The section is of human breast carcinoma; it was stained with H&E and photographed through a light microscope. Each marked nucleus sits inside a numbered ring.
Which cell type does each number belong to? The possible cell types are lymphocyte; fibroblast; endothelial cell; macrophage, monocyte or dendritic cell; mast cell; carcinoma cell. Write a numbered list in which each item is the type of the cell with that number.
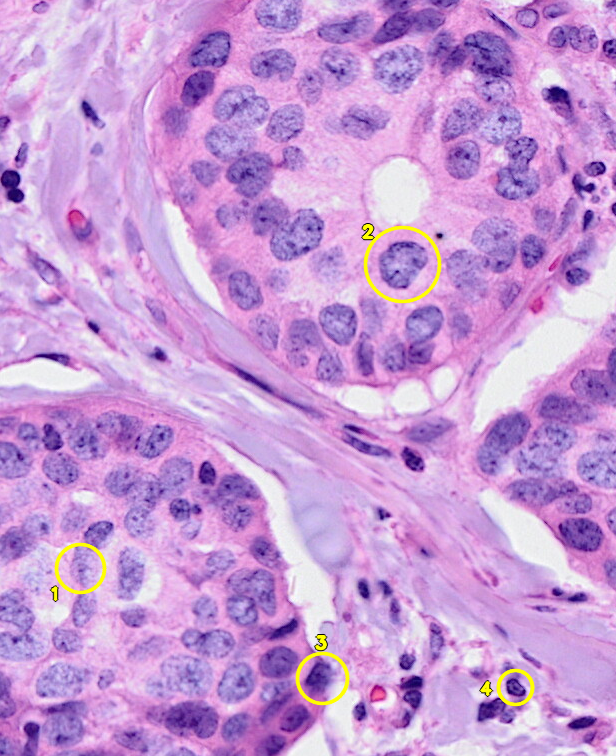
1. carcinoma cell
2. carcinoma cell
3. carcinoma cell
4. lymphocyte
